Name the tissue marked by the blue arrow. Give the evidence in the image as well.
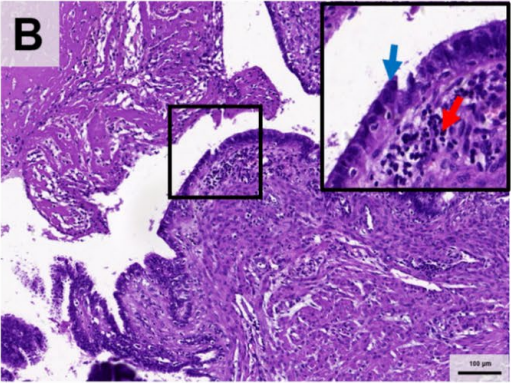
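A single layer of columnar cells lines the surface facing the lumen. The nuclei of this layer are elongated and aligned. So: epithelium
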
